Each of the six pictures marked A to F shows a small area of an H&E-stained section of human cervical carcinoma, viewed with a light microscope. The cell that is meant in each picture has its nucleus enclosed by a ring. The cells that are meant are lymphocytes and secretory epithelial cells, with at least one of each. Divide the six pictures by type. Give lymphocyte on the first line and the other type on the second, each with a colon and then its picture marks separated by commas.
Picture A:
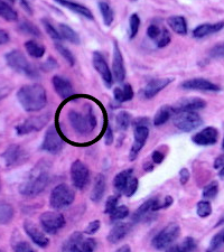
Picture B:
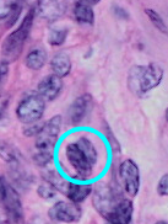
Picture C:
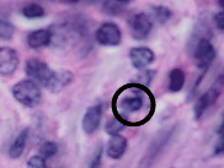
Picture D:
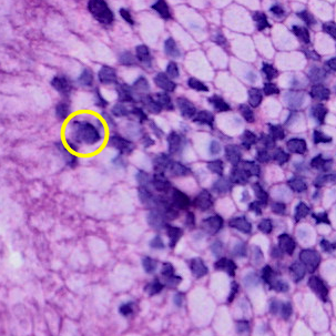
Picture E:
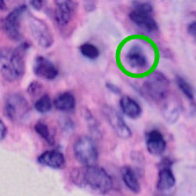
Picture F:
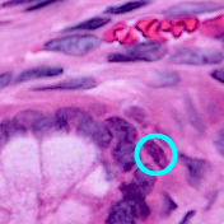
lymphocyte: B, C, E
secretory epithelial cell: A, D, F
